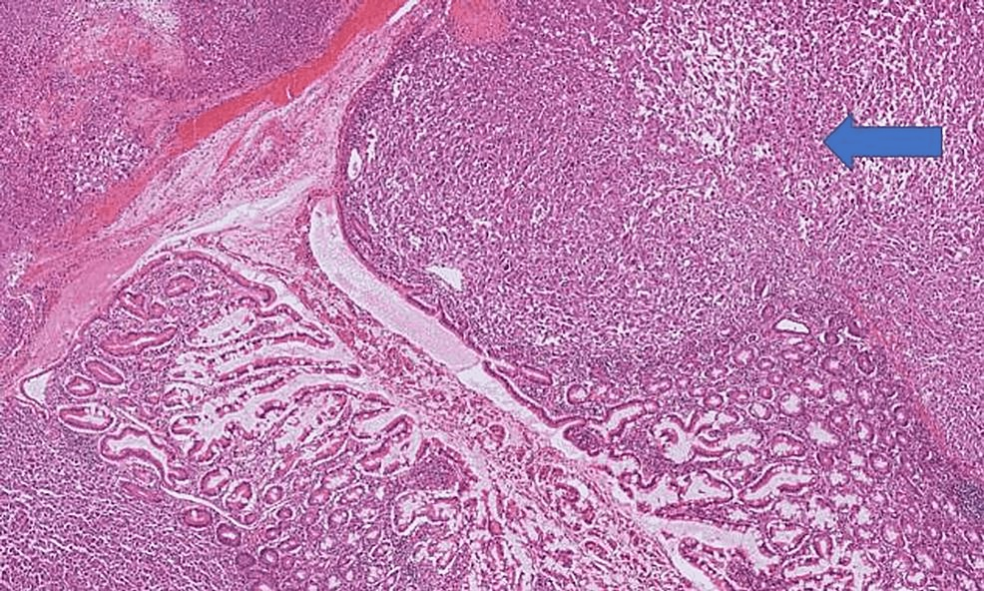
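This section of small bowel shows intestinal mucosa next to a solid tumour made of sheets of densely packed cells. In the lower half, the mucosa has folds and crypts lined by a single layer of columnar epithelium with cellular lamina propria between them. The upper part is filled by a large, rounded mass of tumour cells with pink cytoplasm and crowded nuclei, with no glands. In the upper left, a band of pale pink fibrous tissue with red blood separates the mucosa from more tumour.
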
